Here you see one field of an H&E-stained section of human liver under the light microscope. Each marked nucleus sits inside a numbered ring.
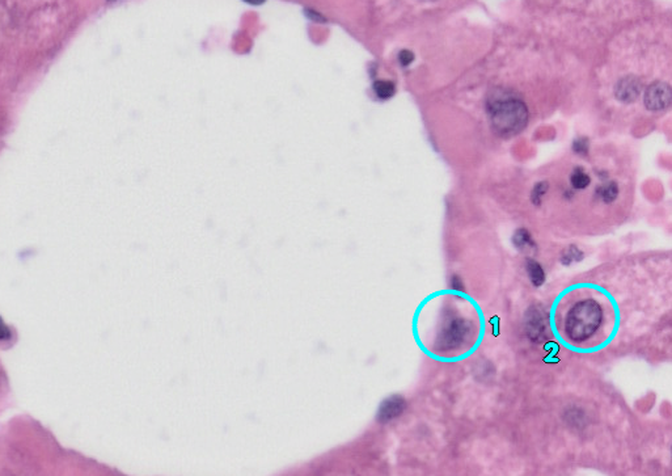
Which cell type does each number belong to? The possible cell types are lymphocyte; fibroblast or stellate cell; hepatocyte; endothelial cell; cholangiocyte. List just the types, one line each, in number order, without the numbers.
fibroblast or stellate cell
hepatocyte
